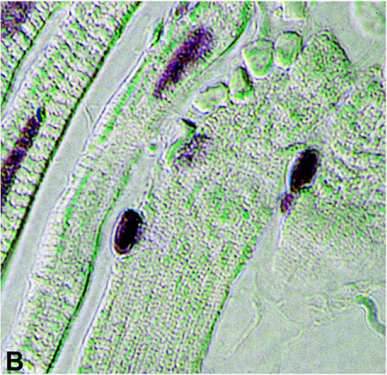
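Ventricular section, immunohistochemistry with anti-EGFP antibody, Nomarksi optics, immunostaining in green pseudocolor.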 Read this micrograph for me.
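Long, broad heart muscle fibres run diagonally across the field, each with fine regular cross-striations. Dark, elongated oval nuclei sit within the fibres, aligned with their long axis. A granular green tint runs along the fibres in rows, lying between the striated contractile material.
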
